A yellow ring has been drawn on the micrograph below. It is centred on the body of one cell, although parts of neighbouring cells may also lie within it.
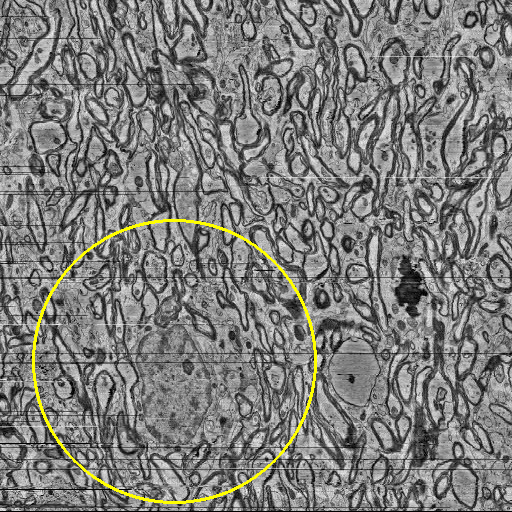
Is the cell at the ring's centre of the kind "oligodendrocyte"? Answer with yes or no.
yes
